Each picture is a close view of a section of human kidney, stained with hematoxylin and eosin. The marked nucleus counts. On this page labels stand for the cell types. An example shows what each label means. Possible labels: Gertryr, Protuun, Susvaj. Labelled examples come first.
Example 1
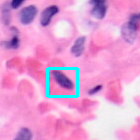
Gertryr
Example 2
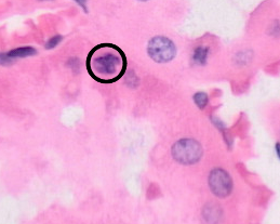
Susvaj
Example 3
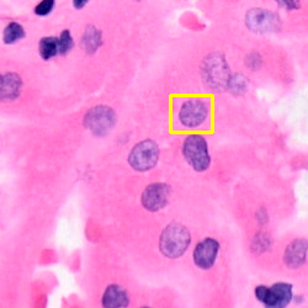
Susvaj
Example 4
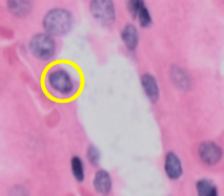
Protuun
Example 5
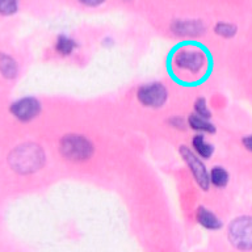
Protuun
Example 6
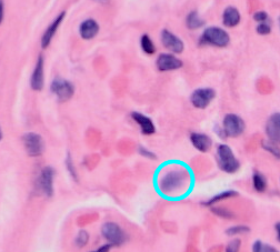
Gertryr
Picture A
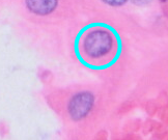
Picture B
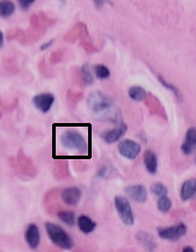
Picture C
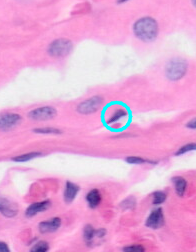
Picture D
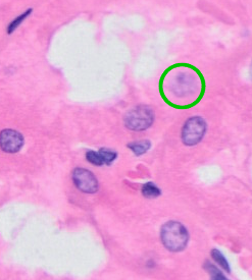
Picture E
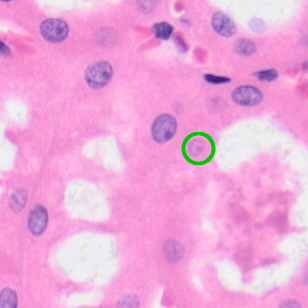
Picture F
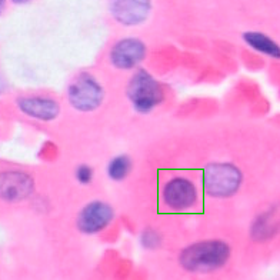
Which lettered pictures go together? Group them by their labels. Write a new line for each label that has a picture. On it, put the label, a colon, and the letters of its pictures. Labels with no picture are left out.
Gertryr: B, C
Susvaj: A, D, E, F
